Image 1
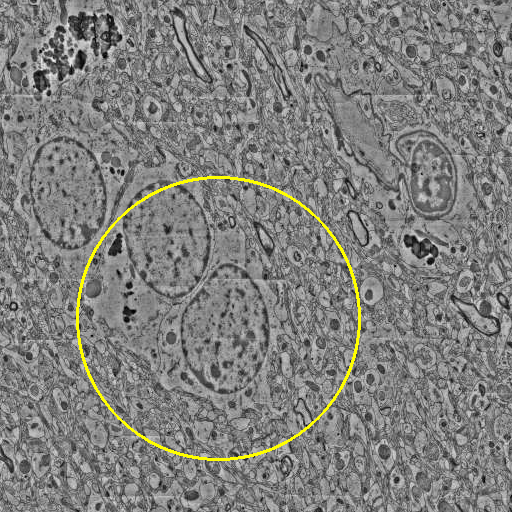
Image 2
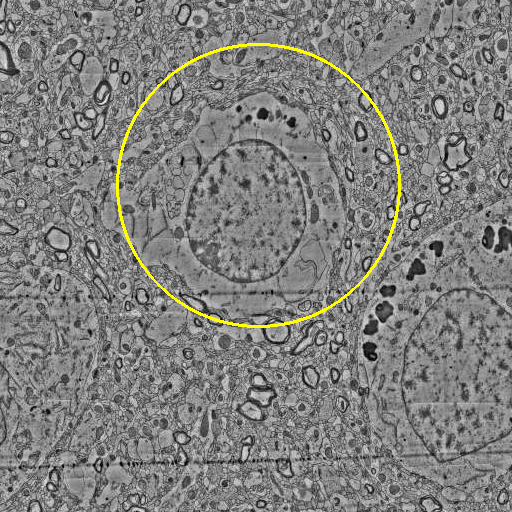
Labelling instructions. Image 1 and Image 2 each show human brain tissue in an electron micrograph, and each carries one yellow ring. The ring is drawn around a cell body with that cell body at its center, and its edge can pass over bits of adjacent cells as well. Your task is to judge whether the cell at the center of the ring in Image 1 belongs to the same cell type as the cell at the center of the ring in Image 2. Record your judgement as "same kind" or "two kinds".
same kind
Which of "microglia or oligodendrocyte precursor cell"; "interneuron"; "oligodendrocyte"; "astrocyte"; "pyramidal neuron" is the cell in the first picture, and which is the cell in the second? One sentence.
The second cell is an astrocyte, just as the first is.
